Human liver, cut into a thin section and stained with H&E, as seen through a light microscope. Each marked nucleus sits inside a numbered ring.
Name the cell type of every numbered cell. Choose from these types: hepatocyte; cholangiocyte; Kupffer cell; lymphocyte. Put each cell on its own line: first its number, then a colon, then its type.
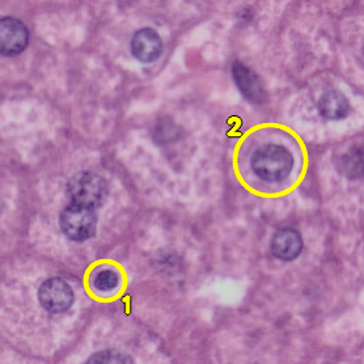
1: lymphocyte
2: hepatocyte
